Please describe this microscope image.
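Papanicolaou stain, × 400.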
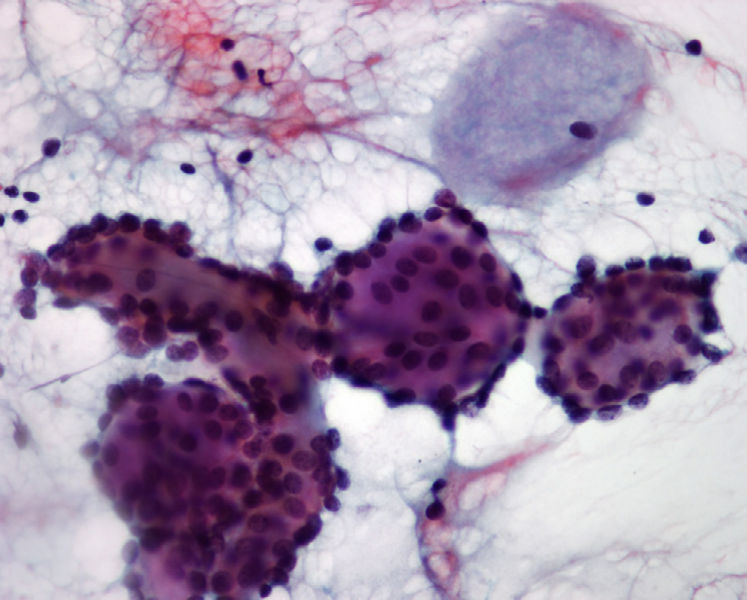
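Tumor cell clusters lie in a cytology smear, with a round, basophilic body nearby. Four cohesive, three-dimensional clusters of cells sit in the lower half, each rounded with knobby, scalloped edges where cells bulge outward. Inside the clusters, round to oval dark purple nuclei are crowded and overlap, set in purple cytoplasm with indistinct cell borders. At the top right lies a large round body that stains pale blue-purple, with a smooth outline and homogeneous texture. Around them is a pale background with a fine lacy network, pink-red strands at the top left, and scattered small dark single nuclei.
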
